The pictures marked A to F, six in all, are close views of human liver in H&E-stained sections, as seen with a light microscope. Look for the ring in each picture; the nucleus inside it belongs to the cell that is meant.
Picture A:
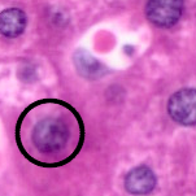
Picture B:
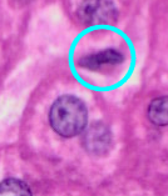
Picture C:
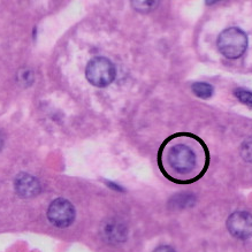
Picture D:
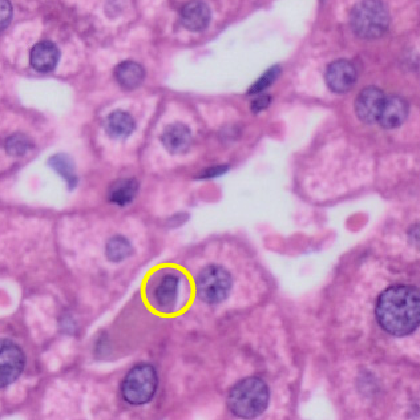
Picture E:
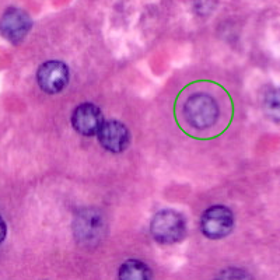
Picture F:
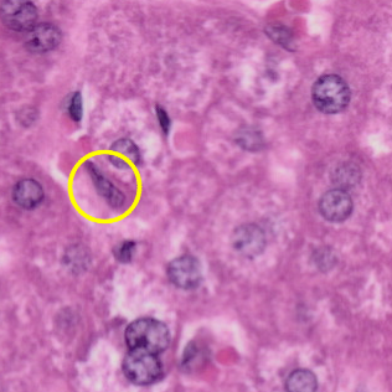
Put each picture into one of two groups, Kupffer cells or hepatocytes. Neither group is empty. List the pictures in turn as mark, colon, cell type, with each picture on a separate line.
A: hepatocyte
B: Kupffer cell
C: hepatocyte
D: Kupffer cell
E: hepatocyte
F: Kupffer cell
